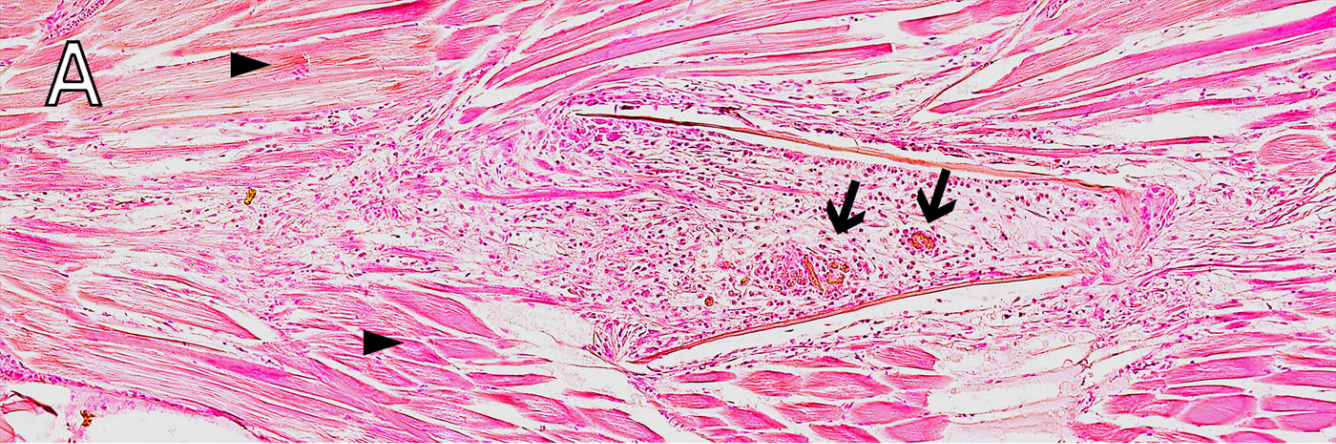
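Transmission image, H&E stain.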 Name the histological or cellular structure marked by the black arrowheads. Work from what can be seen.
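Muscle fibers. The arrowheads lie on long, parallel, strongly pink bands. The bands run in orderly bundles with few cells between them.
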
